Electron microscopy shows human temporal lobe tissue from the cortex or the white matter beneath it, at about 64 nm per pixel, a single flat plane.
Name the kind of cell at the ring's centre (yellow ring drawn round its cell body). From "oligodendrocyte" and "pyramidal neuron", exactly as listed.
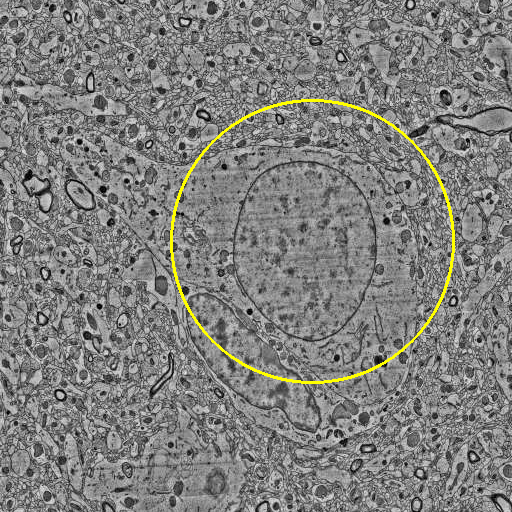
pyramidal neuron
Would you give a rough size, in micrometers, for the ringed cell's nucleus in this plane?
The nucleus of the ringed cell is approximately 12 by 9 micrometres in this plane.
